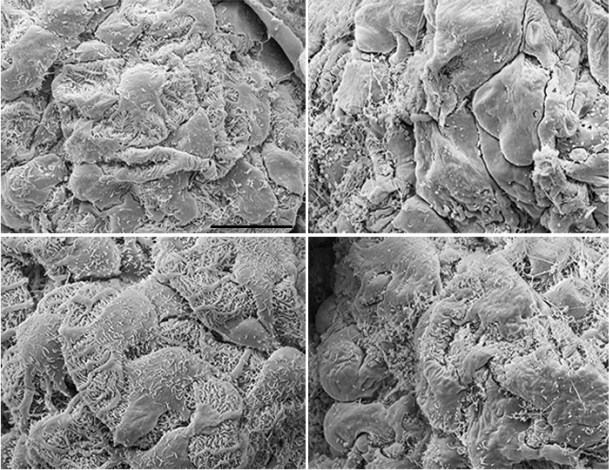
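Scanning electron micrographs of the outer, urinary surface of glomerular capillary tufts. Large, rounded cell bodies and broad branches lie over the curved capillary surfaces. In several fields, fine, short, finger-like projections crowd over the surface between these cell bodies. In other fields the surface looks smoother, with broad flattened sheets and fewer of the fine projections.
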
